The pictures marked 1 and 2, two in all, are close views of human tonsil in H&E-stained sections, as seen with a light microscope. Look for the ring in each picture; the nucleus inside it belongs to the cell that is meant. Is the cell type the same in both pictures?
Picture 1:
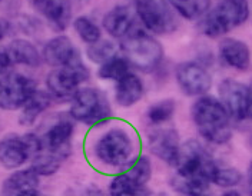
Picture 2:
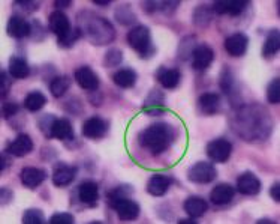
yes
